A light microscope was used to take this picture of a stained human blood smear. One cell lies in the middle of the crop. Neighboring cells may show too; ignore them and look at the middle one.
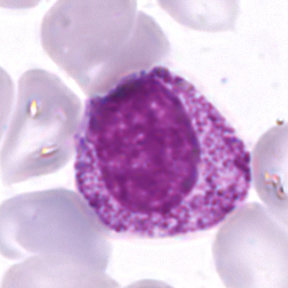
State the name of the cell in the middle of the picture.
myelocyte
